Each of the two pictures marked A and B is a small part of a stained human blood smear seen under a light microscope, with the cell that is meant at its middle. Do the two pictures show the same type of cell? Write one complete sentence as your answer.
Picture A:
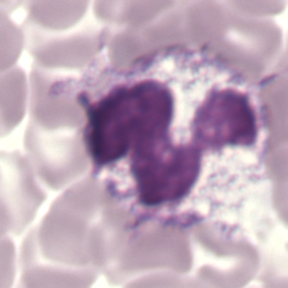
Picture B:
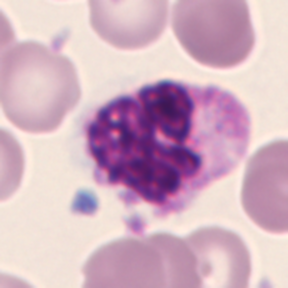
Yes; the cells in both pictures are segmented neutrophils.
